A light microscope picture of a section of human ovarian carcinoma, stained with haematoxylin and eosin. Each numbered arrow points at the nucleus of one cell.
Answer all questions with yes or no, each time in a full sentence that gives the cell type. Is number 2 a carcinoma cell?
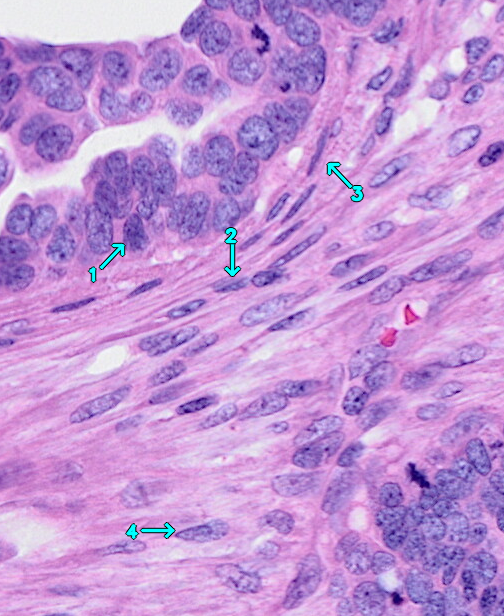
No, cell 2 is not a carcinoma cell; a fibroblast is the correct identification.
